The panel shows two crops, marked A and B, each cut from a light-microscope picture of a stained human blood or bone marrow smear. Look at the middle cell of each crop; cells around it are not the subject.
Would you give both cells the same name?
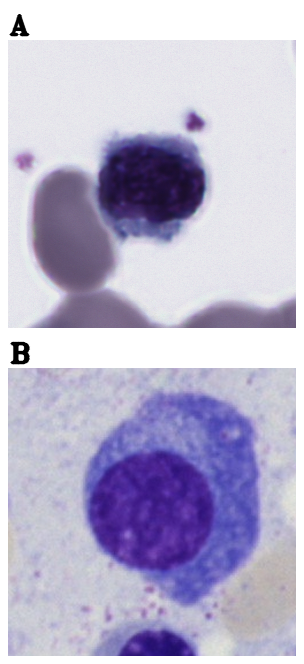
yes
